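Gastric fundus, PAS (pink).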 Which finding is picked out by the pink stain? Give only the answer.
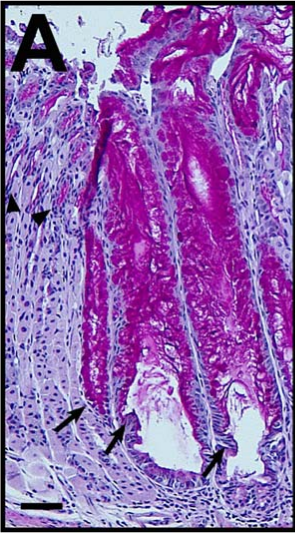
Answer: Extensive mucin production deep into affected glands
